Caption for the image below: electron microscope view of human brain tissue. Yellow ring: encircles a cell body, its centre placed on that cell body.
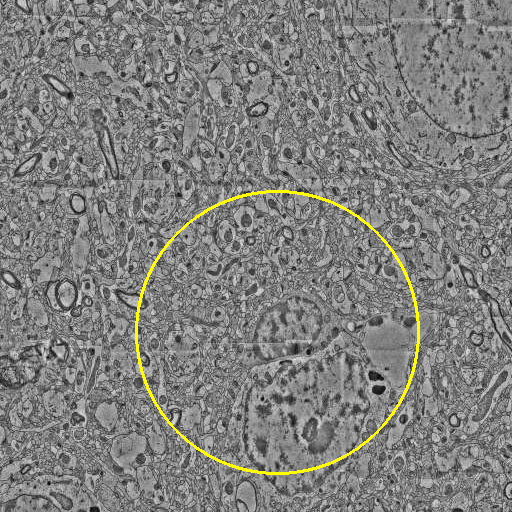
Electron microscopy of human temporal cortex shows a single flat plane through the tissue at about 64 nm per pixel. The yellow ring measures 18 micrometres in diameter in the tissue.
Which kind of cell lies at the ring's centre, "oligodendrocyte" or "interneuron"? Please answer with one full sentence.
The picture shows an oligodendrocyte at the centre of the yellow ring.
